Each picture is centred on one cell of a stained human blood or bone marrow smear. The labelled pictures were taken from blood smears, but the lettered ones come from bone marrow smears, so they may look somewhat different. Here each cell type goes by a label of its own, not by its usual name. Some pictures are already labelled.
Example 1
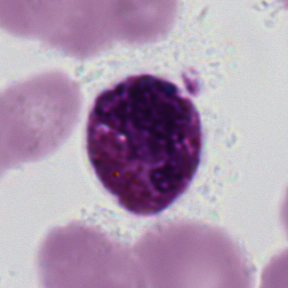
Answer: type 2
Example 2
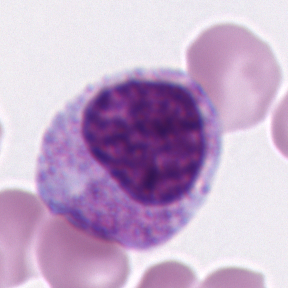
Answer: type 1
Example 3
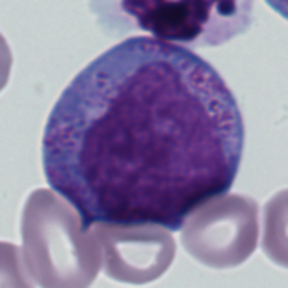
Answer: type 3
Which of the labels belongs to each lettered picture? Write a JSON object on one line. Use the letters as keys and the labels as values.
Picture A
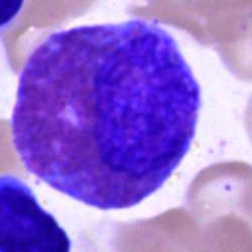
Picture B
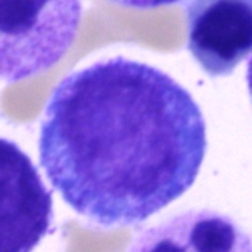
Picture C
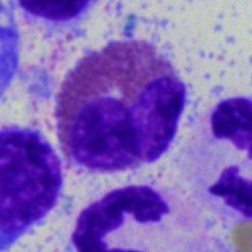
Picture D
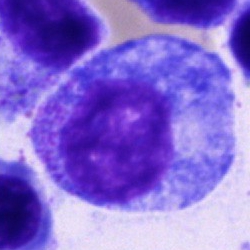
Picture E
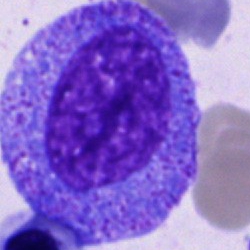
{"A": "type 2", "B": "type 3", "C": "type 2", "D": "type 3", "E": "type 3"}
